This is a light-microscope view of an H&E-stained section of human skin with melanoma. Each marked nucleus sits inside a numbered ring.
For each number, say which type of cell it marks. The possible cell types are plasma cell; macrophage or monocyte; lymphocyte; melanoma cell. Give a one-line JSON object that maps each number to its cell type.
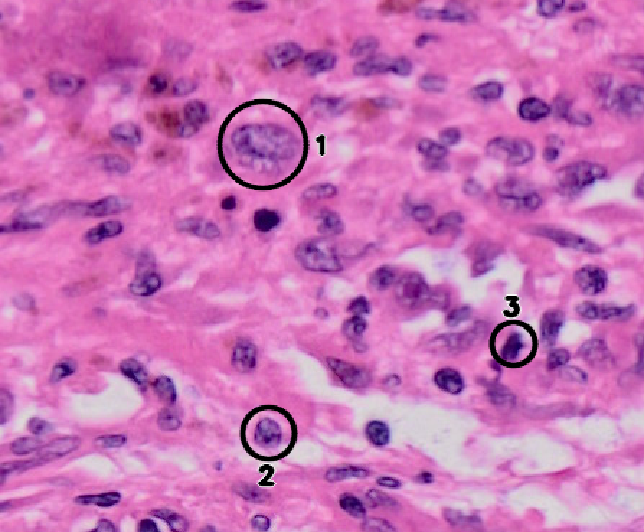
{"1": "melanoma cell", "2": "lymphocyte", "3": "lymphocyte"}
